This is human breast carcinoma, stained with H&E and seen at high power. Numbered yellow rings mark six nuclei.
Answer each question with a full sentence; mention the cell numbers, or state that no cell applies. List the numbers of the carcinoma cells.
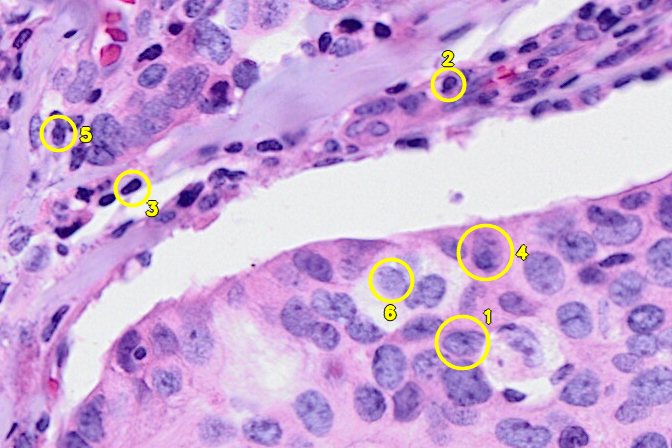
The cells that have been numbered 1, 4 and 6 are carcinoma cells.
